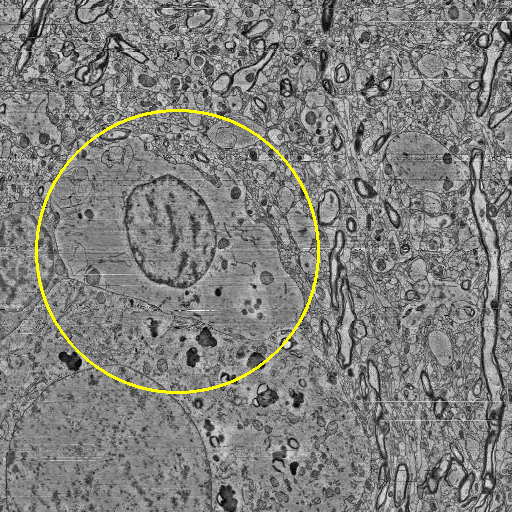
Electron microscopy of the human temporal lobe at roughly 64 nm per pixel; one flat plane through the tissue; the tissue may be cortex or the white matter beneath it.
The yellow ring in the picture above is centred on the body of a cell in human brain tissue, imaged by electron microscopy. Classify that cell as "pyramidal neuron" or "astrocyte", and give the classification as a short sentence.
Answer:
The cell in the middle of the ring is an astrocyte.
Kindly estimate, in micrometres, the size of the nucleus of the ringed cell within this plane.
Approximately 7 x 6 micrometres in this plane.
